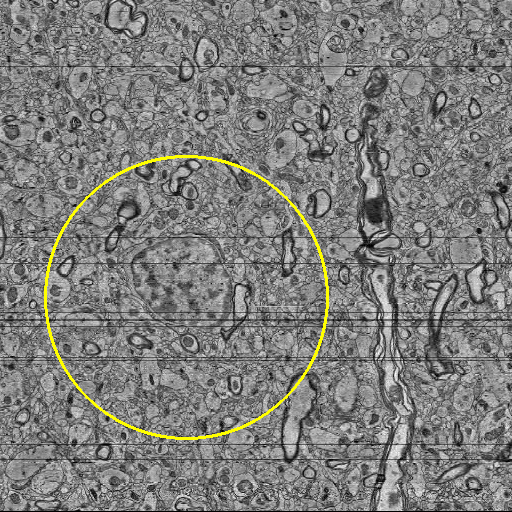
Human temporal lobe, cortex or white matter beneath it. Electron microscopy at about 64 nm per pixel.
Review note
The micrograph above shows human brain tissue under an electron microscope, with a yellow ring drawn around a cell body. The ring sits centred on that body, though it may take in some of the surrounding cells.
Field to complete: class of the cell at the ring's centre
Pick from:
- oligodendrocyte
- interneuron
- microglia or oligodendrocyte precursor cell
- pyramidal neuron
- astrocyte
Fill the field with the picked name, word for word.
oligodendrocyte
